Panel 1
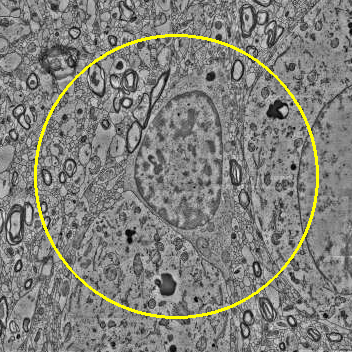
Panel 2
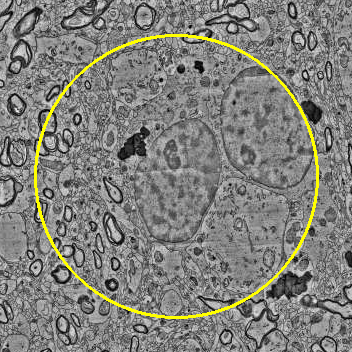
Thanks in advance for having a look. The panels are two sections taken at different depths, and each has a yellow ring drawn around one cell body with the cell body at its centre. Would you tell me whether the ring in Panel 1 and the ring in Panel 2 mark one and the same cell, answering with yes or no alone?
no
